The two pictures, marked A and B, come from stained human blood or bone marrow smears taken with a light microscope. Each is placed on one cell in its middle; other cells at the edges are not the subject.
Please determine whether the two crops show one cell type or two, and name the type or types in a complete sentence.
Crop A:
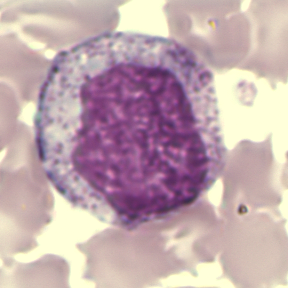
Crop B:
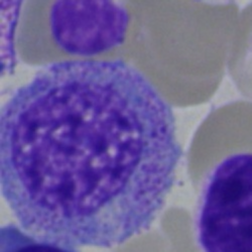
Yes, both crops show myelocytes, with no exception.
